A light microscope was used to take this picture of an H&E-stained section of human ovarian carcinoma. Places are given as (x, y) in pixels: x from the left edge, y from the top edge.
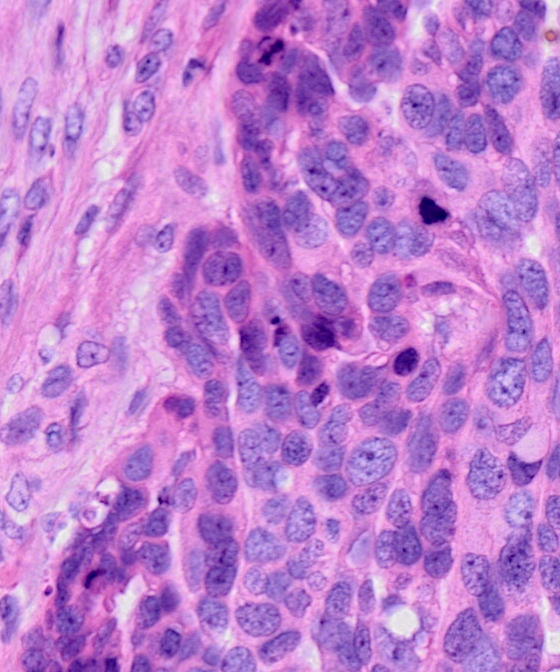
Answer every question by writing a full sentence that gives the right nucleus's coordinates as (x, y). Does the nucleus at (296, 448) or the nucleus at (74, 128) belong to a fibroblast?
The nucleus at (74, 128) is contained in a fibroblast.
